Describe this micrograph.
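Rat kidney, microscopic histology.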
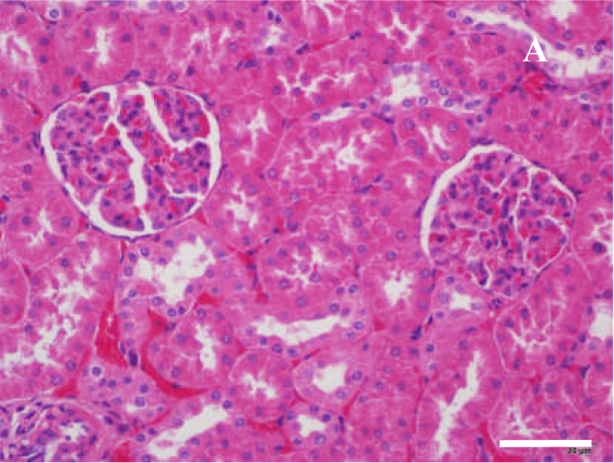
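Renal cortex showing two glomeruli among tightly packed tubules. Each glomerulus is a round tuft of capillary loops crowded with small dark nuclei, with a few red blood cells. A thin capsule encloses it, leaving only a narrow clear crescent of capsular space. The surrounding tubules are lined by cuboidal epithelial cells with round, centrally placed nuclei and abundant deep pink cytoplasm. Their lumens are small and irregular, some with a fluffy brush-border-like edge. The tubules abut one another closely, with only thin strands of interstitium and a few small red-filled capillaries between them.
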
